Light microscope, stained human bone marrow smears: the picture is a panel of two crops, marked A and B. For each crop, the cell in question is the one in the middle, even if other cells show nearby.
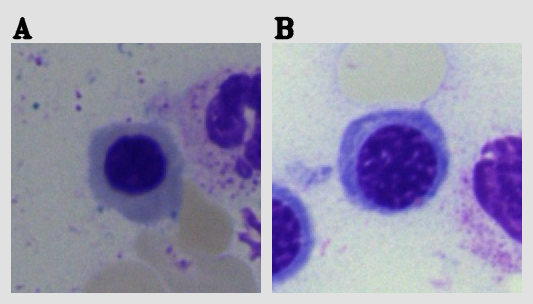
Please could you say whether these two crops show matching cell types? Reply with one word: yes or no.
yes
